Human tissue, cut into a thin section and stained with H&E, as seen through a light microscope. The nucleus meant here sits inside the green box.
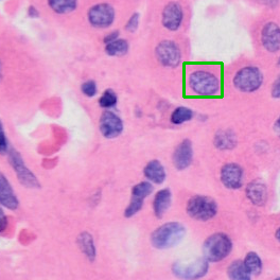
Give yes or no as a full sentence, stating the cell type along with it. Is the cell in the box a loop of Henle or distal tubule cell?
Yes, to put it simply, the cell in the box is a loop of Henle or distal tubule cell.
